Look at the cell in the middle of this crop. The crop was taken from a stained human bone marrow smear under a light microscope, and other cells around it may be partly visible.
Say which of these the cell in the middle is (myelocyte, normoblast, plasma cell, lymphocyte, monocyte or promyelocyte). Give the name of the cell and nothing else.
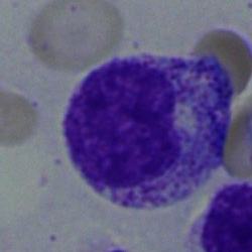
myelocyte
